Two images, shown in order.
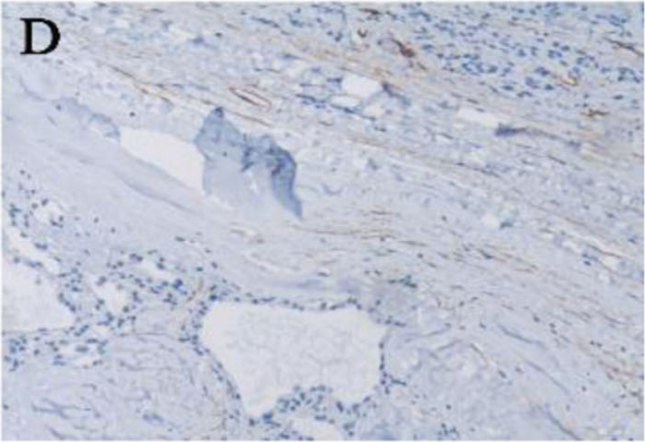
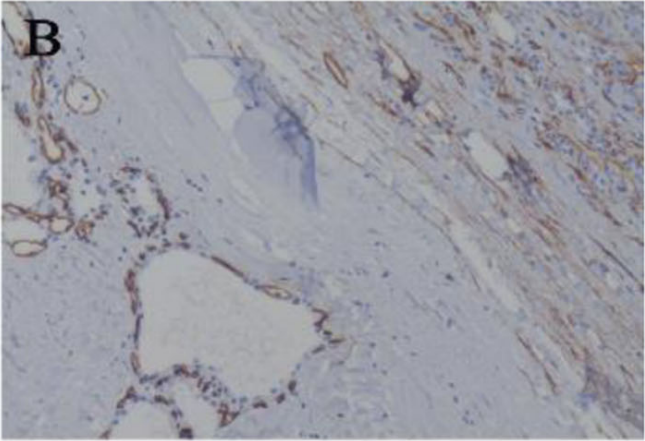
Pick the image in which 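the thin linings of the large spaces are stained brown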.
The second image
